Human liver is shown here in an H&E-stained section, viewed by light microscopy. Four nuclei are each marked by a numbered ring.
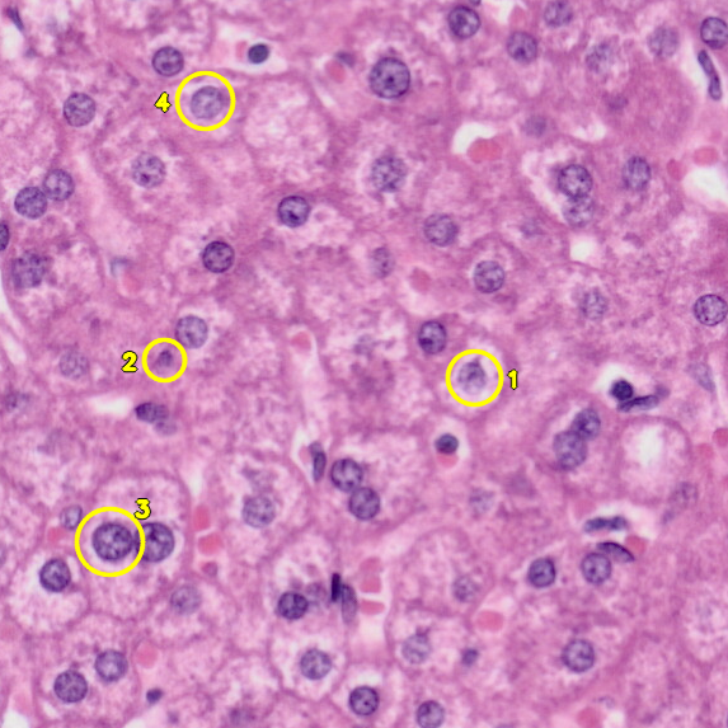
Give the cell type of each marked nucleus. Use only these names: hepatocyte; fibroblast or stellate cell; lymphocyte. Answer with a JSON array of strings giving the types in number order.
["hepatocyte", "fibroblast or stellate cell", "hepatocyte", "hepatocyte"]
